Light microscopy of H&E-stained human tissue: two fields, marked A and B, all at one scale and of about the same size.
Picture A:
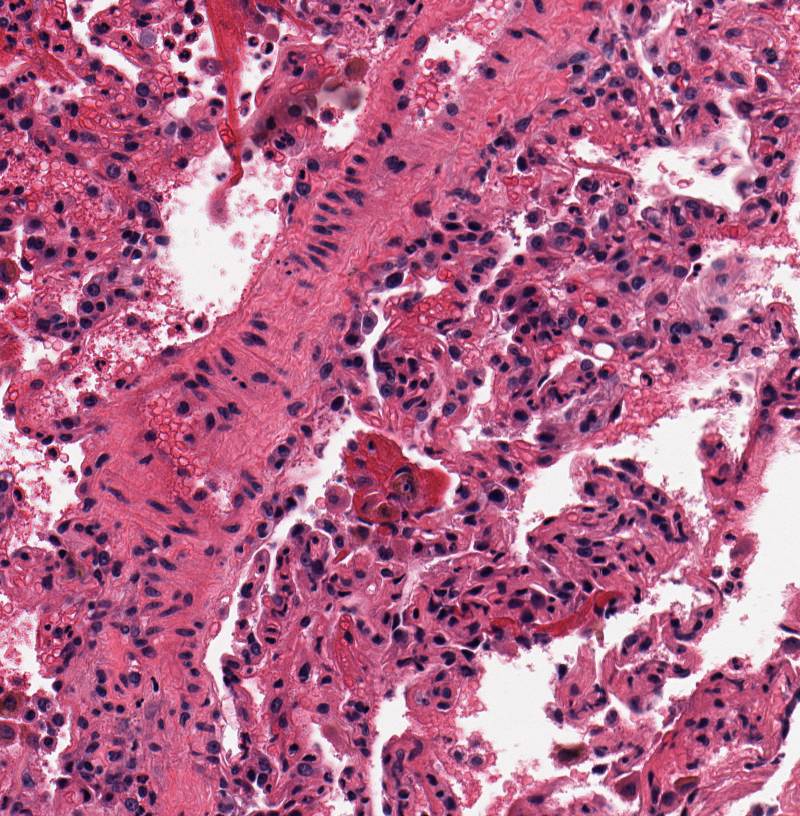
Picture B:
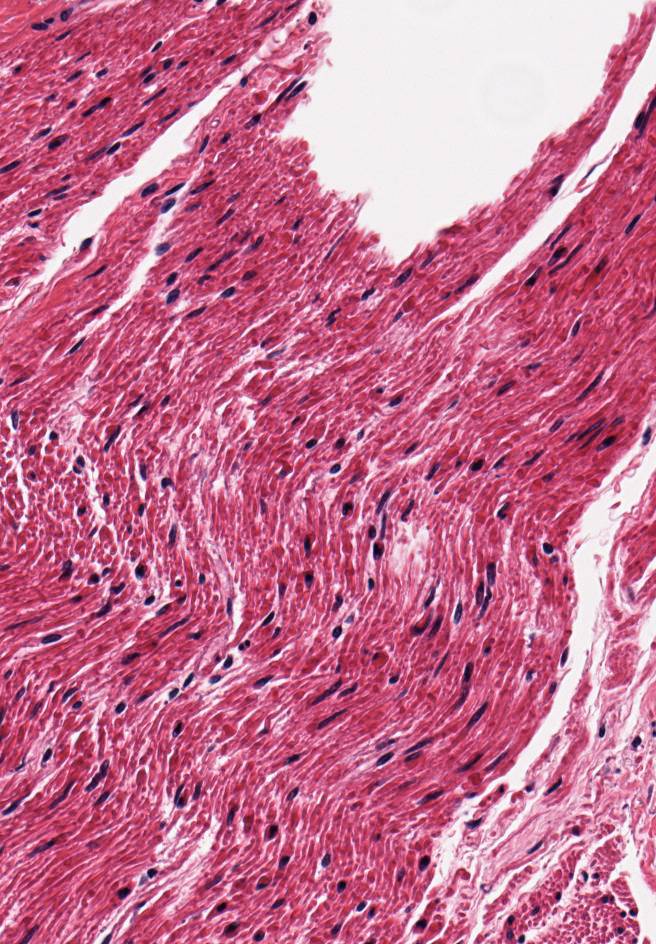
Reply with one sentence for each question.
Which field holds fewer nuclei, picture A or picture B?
Fewer nuclei lie in picture B than in picture A.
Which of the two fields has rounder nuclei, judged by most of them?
It is picture A whose nuclei are the rounder.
